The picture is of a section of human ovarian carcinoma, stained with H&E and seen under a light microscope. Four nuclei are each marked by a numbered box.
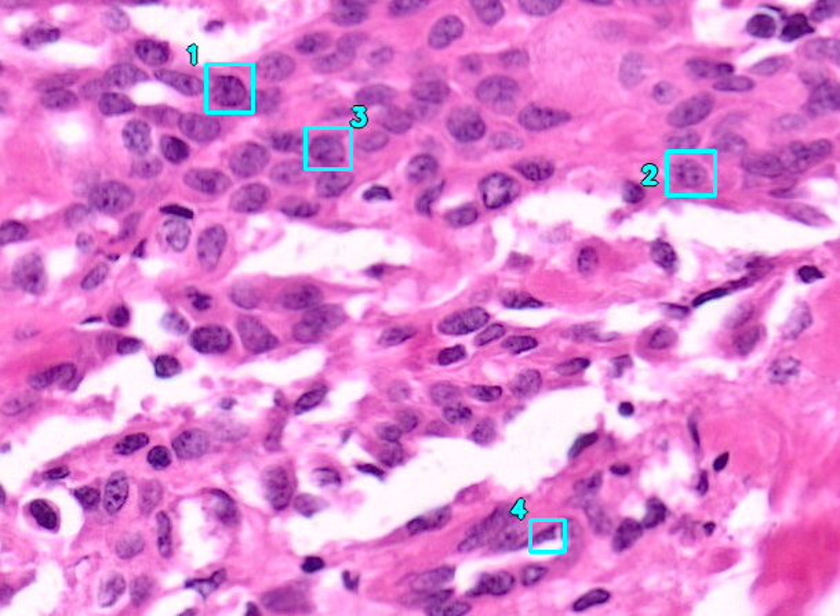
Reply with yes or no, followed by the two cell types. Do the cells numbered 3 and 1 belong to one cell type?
Yes, cells 3 and 1 are both recognised as carcinoma cells.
